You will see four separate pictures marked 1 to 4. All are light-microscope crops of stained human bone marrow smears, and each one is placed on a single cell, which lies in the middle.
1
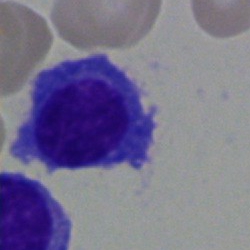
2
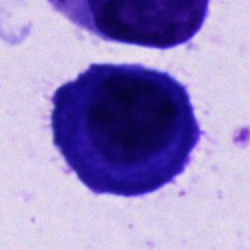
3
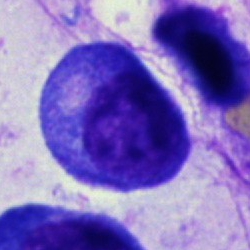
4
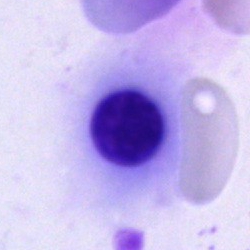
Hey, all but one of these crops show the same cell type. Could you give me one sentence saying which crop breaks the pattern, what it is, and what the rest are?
Seen in crop 4 is an erythroblast, and seen in all other crops are plasma cells.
